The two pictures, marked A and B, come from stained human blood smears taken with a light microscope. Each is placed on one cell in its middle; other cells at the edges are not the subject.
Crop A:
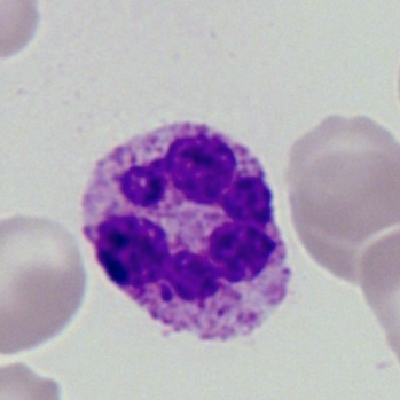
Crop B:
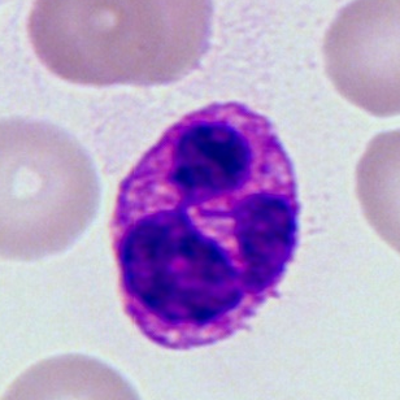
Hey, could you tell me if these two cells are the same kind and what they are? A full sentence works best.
Yes, the same answer goes for both crops, namely basophils.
